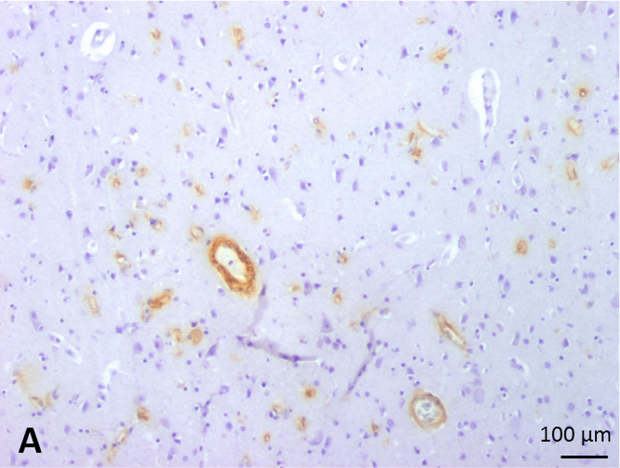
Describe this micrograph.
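This is a section of neural tissue in which brown deposits sit in the walls of blood vessels, both larger arteries and tiny capillaries. Several larger vessels, cut across, show a thick brown ring around an open lumen. Scattered everywhere between the blue nuclei are many small brown dots and short brown streaks that follow the course of the smallest vessels. The nuclei of the surrounding cells are stained blue and are small and evenly scattered in a pale background. The brown material is confined to vessel walls and their immediate surroundings rather than forming free round clumps in the tissue.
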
